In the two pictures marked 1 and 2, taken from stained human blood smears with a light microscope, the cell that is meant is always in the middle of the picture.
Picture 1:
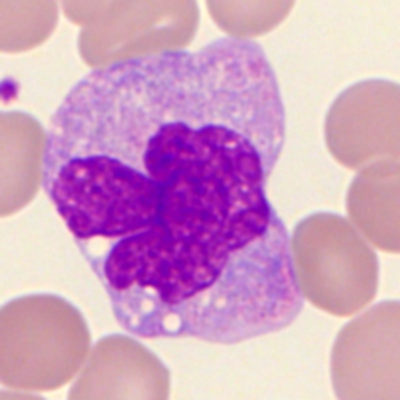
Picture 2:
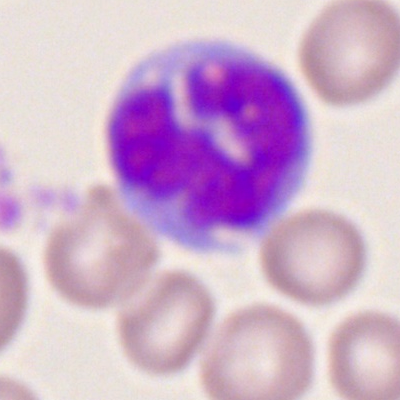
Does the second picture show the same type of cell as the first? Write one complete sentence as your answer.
Yes, the two pictures both show monocytes.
